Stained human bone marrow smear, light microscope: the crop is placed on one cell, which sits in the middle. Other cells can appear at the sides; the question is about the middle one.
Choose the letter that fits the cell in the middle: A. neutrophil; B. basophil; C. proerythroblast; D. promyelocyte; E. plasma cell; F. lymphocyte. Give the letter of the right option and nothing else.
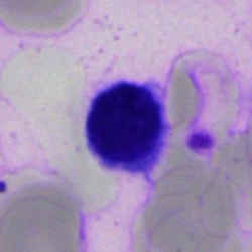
F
